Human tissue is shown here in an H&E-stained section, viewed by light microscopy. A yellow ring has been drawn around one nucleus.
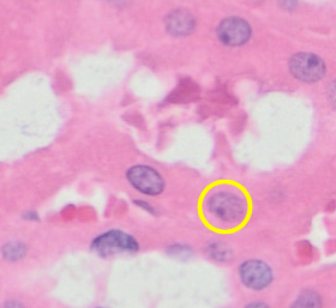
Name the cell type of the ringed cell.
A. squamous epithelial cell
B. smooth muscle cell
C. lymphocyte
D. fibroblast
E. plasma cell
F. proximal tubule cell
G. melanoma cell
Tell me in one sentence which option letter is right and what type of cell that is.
Since the ringed cell is a proximal tubule cell, the right option is F.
